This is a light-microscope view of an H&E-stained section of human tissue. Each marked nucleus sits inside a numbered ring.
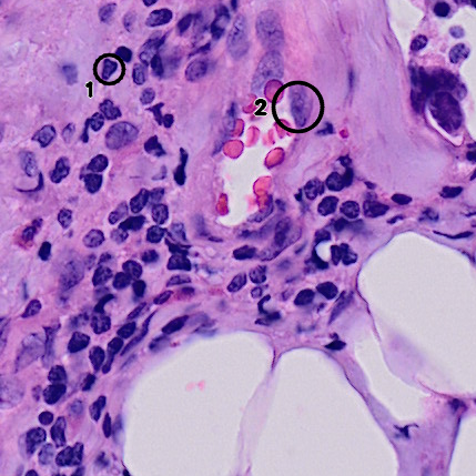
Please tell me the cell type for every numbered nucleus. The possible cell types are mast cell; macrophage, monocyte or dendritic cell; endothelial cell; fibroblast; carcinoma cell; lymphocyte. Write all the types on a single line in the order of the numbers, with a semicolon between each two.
lymphocyte; endothelial cell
